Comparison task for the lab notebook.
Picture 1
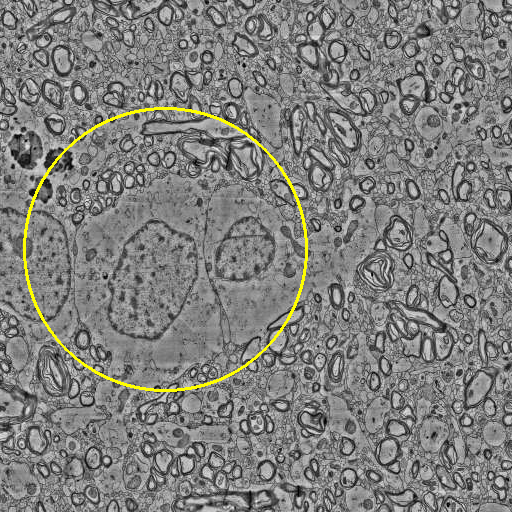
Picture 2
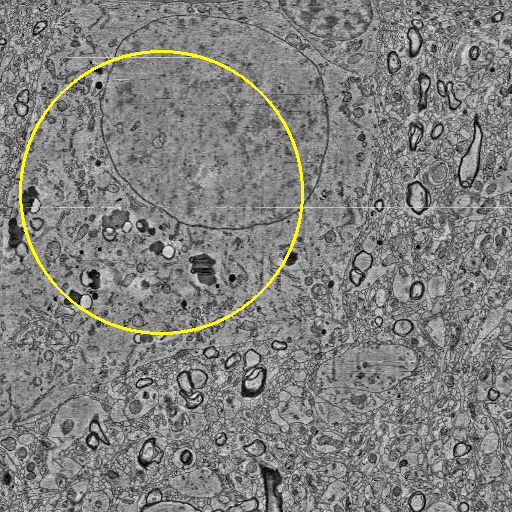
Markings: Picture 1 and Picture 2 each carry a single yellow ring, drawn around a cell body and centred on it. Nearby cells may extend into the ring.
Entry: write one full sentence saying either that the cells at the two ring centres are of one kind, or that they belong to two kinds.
The cells sitting at the ring centres in Picture 1 and Picture 2 belong to two kinds.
